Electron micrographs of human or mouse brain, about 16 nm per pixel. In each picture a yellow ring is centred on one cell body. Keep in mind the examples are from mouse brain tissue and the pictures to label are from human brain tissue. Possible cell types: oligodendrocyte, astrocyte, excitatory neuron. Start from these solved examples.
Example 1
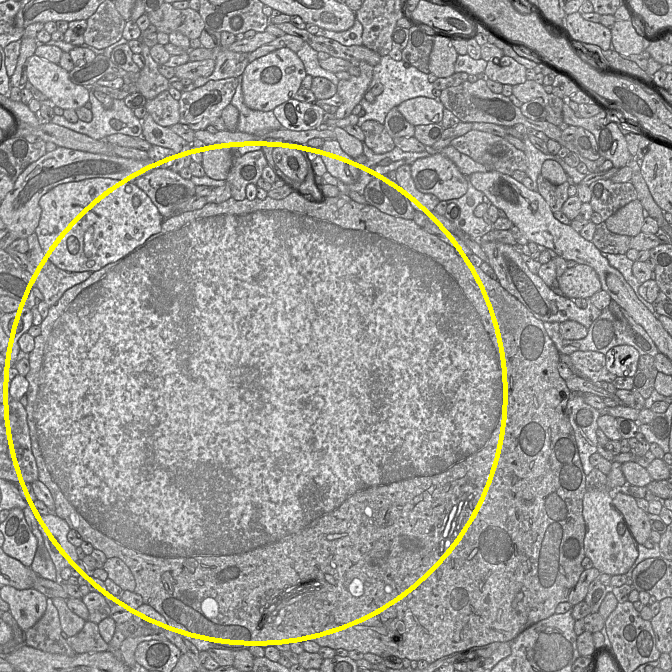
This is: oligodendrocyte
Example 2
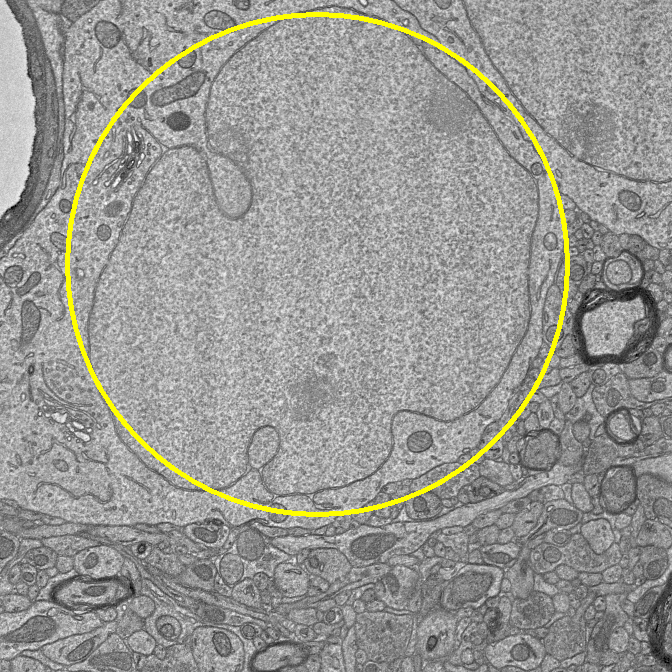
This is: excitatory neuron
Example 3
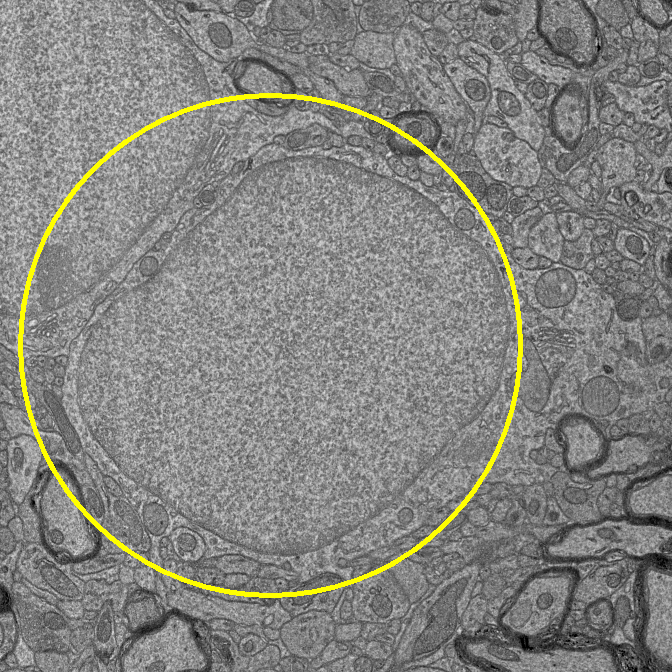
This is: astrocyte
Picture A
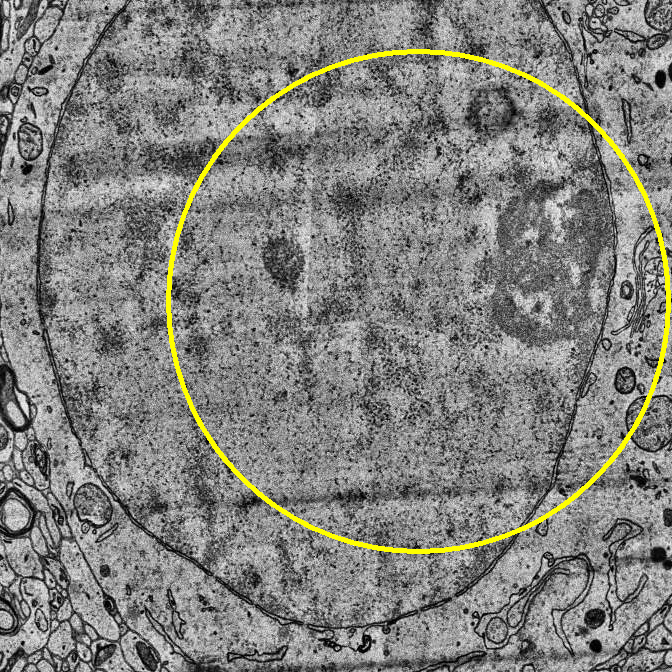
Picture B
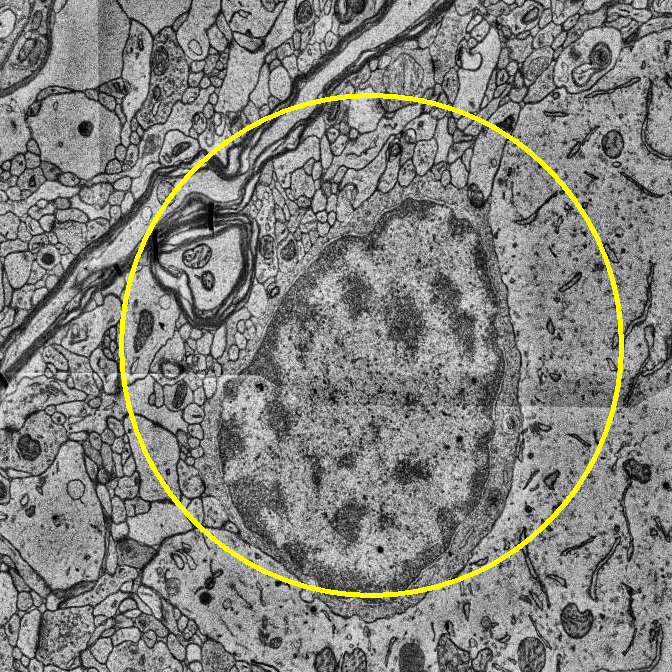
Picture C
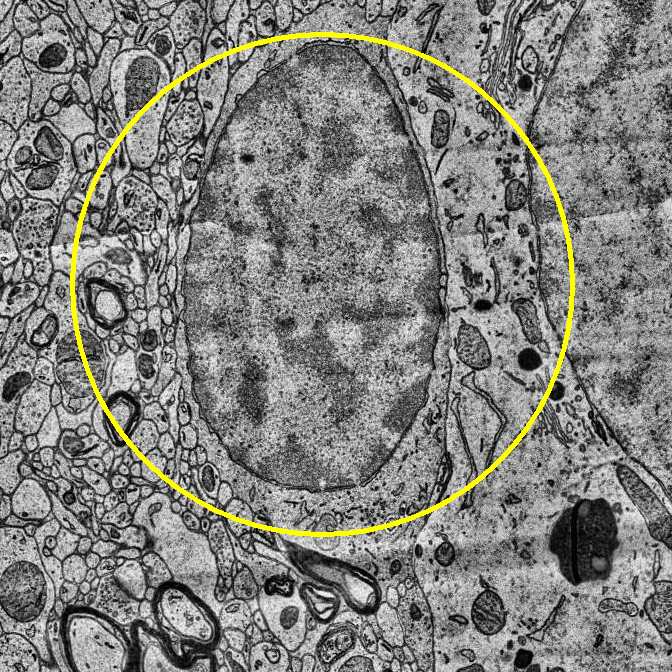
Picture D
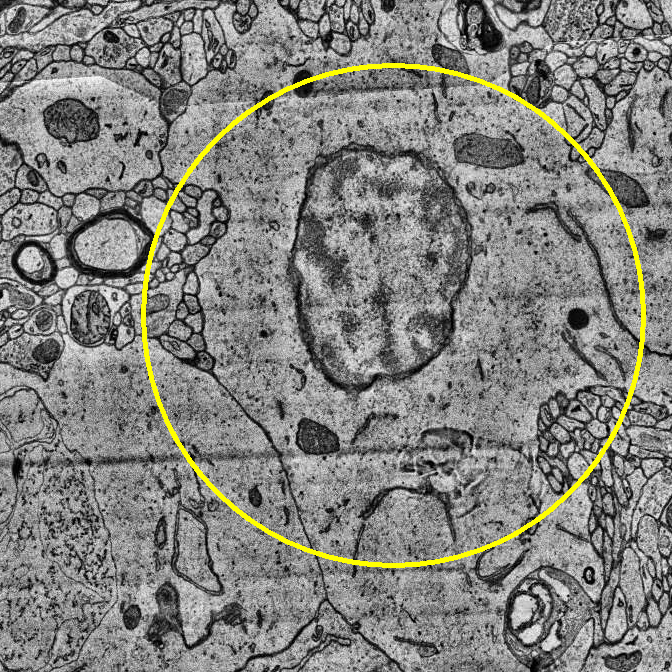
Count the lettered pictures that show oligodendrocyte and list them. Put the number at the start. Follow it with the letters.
Count: 2 (B, C)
